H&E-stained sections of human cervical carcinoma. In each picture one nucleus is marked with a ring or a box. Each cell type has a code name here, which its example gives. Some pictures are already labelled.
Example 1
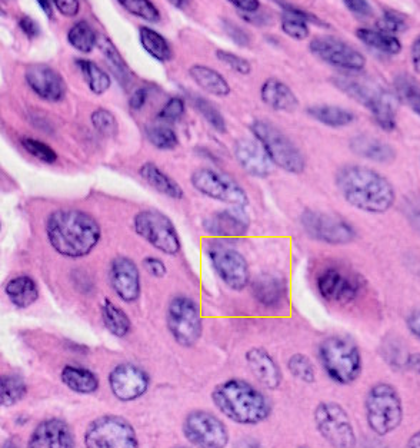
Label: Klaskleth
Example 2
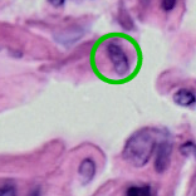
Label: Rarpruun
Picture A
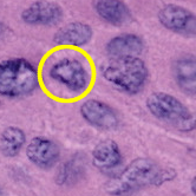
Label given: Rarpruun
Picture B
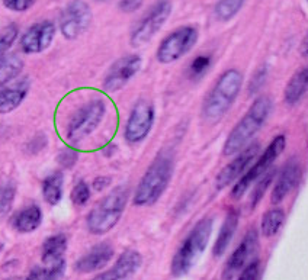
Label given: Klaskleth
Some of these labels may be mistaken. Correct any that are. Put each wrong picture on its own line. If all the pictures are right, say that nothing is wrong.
A: Klaskleth, not Rarpruun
